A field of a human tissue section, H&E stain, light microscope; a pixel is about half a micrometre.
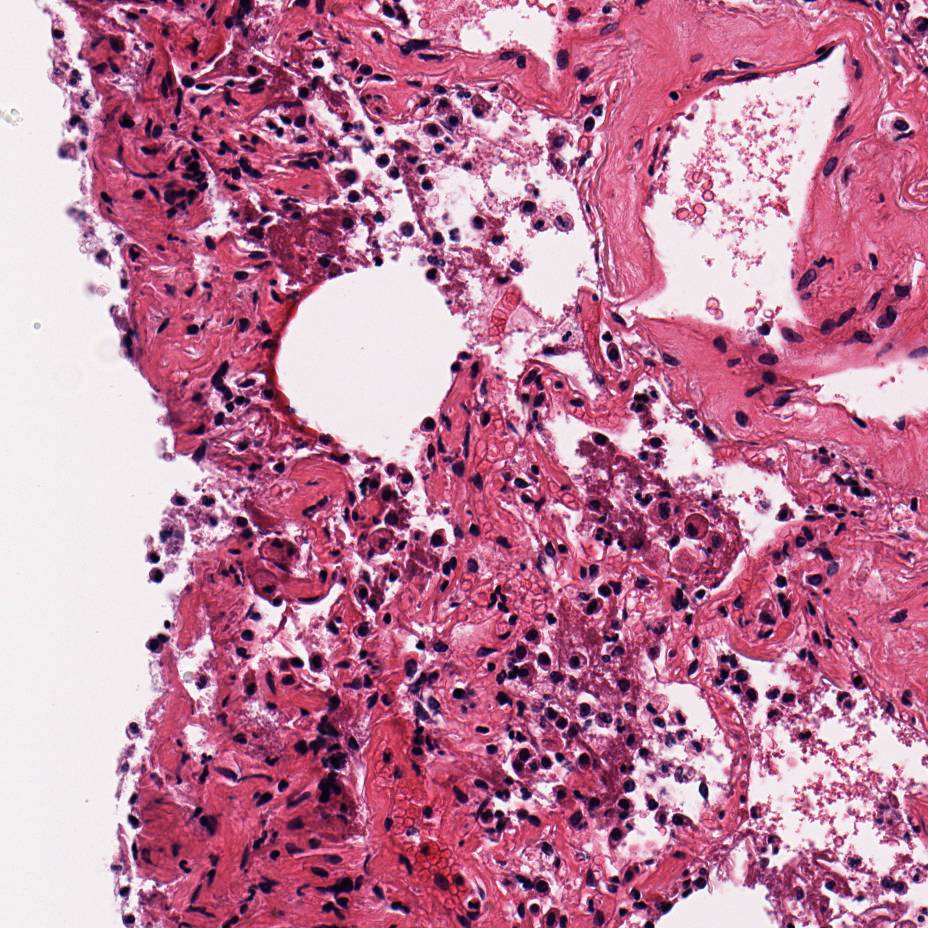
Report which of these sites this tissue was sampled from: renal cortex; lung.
lung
